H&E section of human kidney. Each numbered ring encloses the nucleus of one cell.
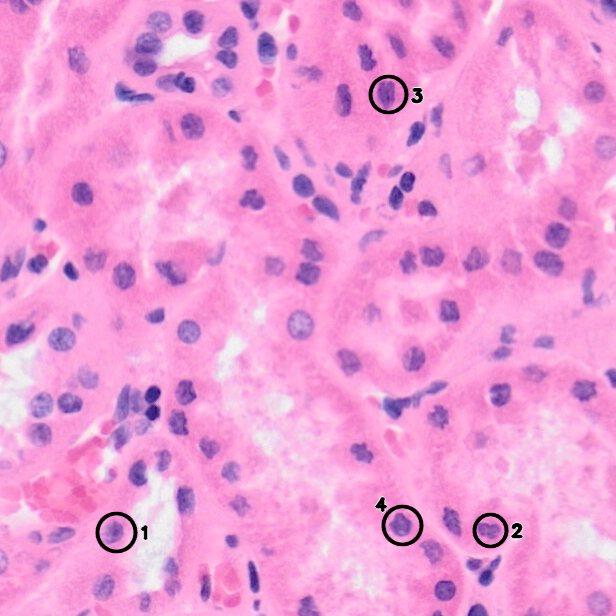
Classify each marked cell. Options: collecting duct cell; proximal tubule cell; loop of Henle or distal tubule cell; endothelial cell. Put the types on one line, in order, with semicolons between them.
loop of Henle or distal tubule cell; proximal tubule cell; proximal tubule cell; proximal tubule cell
